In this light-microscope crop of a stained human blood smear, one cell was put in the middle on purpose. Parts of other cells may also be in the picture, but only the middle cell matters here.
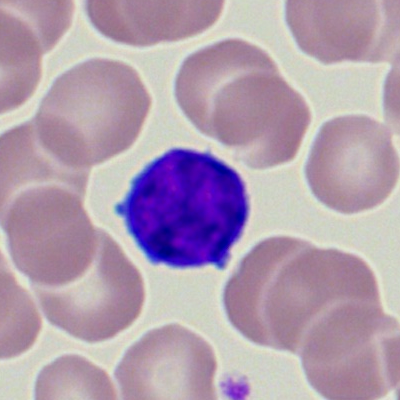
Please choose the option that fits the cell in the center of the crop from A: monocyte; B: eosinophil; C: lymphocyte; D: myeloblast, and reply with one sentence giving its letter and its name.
Option C is the correct selection, for the cell at the centre is a lymphocyte.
